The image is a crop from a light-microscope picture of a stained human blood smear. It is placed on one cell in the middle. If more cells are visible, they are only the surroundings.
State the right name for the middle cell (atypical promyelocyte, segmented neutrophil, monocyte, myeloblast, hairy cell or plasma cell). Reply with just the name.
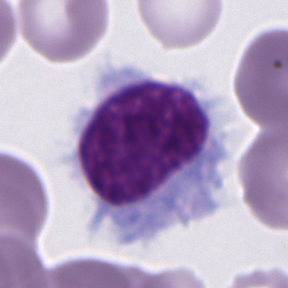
hairy cell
